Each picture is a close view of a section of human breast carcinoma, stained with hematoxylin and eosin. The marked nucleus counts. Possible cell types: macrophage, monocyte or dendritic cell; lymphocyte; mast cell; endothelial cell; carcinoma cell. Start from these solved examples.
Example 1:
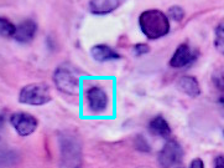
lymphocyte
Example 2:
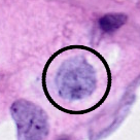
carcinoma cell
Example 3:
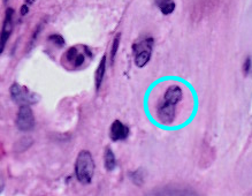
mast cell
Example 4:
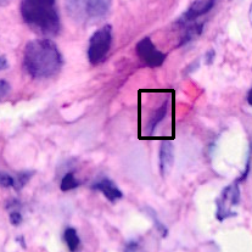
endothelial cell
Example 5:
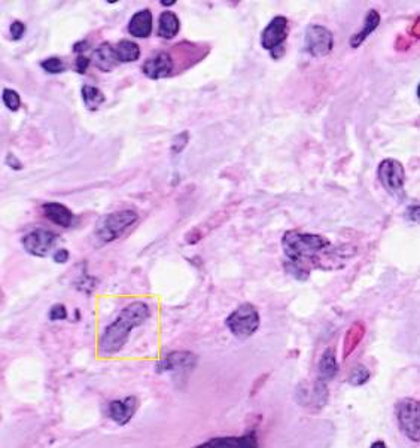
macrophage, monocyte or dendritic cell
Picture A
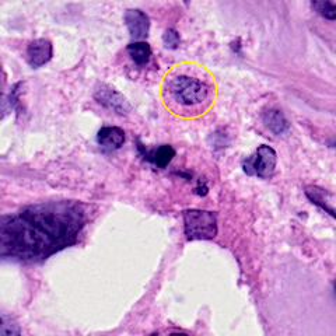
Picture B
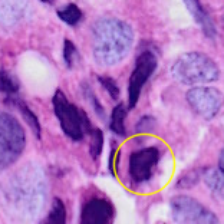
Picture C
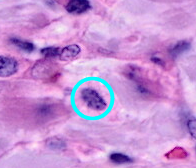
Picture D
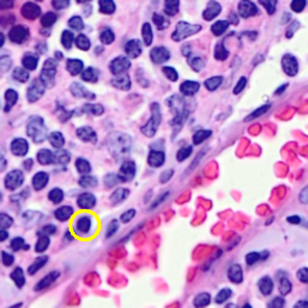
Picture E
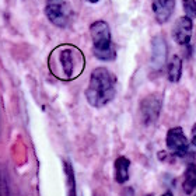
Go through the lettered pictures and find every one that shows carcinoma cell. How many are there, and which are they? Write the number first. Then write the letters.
1: B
